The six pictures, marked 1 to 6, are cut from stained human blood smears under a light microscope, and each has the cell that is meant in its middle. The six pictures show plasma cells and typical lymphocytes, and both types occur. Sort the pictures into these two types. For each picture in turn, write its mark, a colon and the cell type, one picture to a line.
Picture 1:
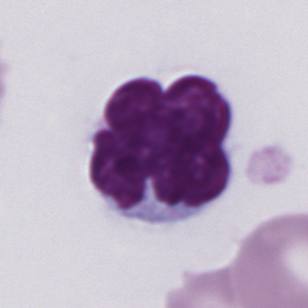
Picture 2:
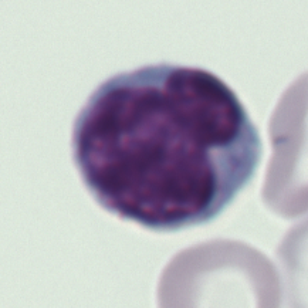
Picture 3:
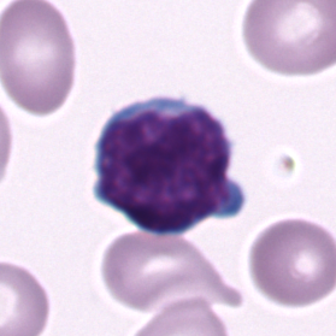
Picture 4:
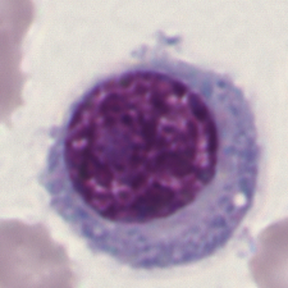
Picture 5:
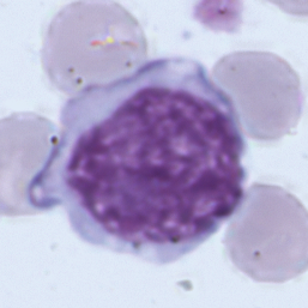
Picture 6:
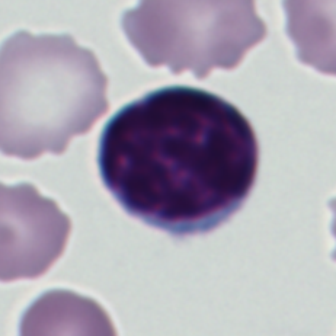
1: typical lymphocyte
2: typical lymphocyte
3: typical lymphocyte
4: plasma cell
5: plasma cell
6: typical lymphocyte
